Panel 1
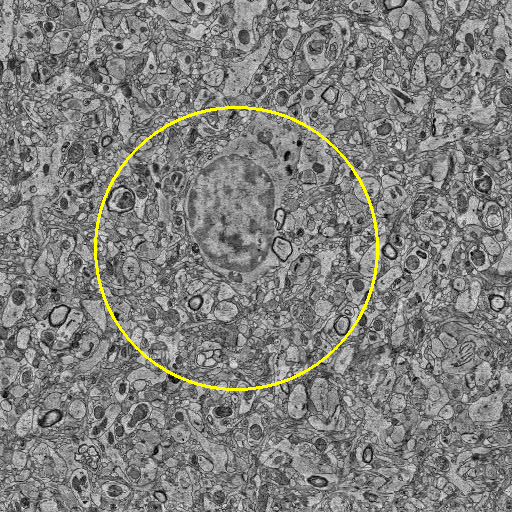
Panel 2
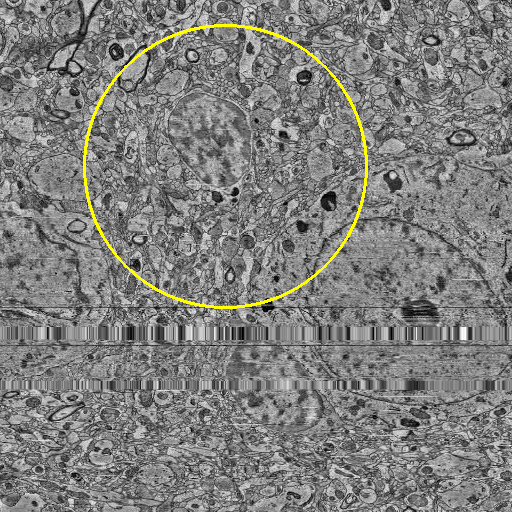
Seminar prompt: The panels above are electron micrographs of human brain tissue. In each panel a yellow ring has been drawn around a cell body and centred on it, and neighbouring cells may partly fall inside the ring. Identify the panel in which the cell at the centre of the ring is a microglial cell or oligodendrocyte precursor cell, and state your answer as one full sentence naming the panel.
Panel 2 has it at the centre of its ring.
